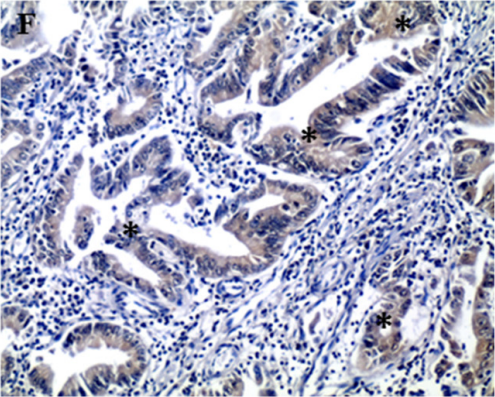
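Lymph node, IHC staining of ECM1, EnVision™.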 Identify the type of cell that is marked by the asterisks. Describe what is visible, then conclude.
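Tall columnar cells with elongated, stratified nuclei forming glands. Brown-tinged cytoplasm in the gland-forming cells. Small round dark lymphocytes between the glands. So: tumor cells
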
